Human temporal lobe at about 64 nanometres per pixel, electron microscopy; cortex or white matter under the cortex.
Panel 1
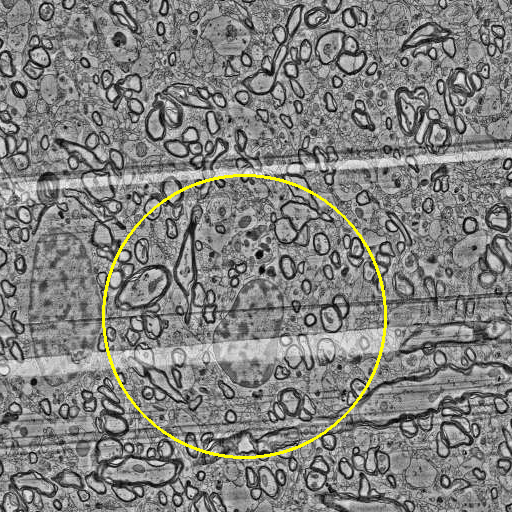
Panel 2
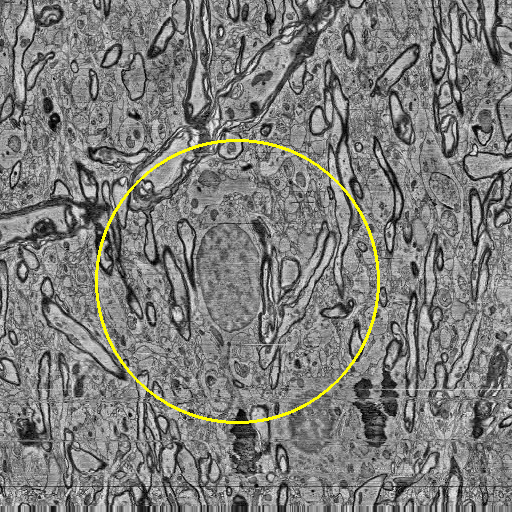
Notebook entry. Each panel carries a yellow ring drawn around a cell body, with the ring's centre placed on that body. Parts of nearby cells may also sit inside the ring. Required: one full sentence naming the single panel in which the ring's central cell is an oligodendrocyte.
Panel 2 is the single one with the sought cell at its ring's centre.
